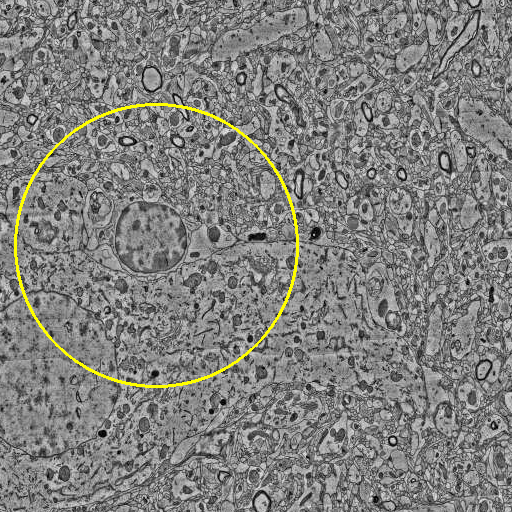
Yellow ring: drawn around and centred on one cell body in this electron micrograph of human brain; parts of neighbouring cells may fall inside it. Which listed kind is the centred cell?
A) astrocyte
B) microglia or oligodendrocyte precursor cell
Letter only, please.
B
